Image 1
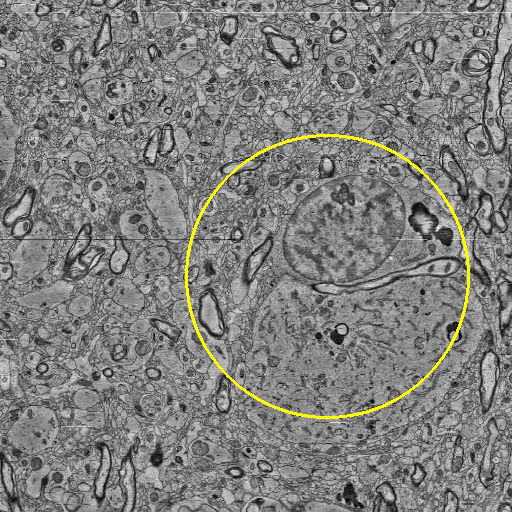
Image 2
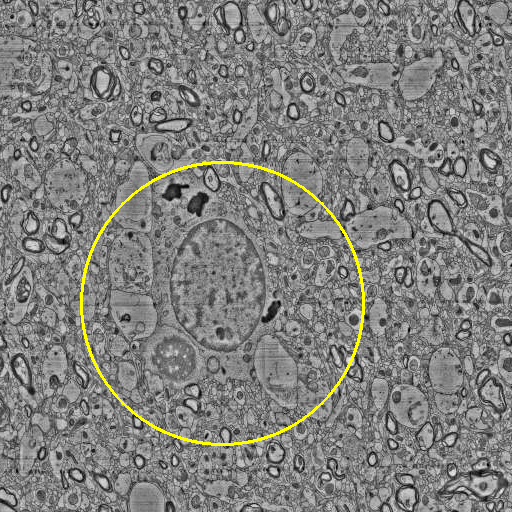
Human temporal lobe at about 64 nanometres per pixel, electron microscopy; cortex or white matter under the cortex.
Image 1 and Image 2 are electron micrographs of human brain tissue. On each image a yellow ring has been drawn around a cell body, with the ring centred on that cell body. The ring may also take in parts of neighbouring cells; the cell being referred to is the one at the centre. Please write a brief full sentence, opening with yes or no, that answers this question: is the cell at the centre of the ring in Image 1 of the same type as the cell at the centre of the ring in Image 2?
Yes, both cells are of the same type.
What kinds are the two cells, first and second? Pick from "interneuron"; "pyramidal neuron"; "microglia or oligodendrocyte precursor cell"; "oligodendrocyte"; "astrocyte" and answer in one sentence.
In each picture the ringed cell is an oligodendrocyte.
